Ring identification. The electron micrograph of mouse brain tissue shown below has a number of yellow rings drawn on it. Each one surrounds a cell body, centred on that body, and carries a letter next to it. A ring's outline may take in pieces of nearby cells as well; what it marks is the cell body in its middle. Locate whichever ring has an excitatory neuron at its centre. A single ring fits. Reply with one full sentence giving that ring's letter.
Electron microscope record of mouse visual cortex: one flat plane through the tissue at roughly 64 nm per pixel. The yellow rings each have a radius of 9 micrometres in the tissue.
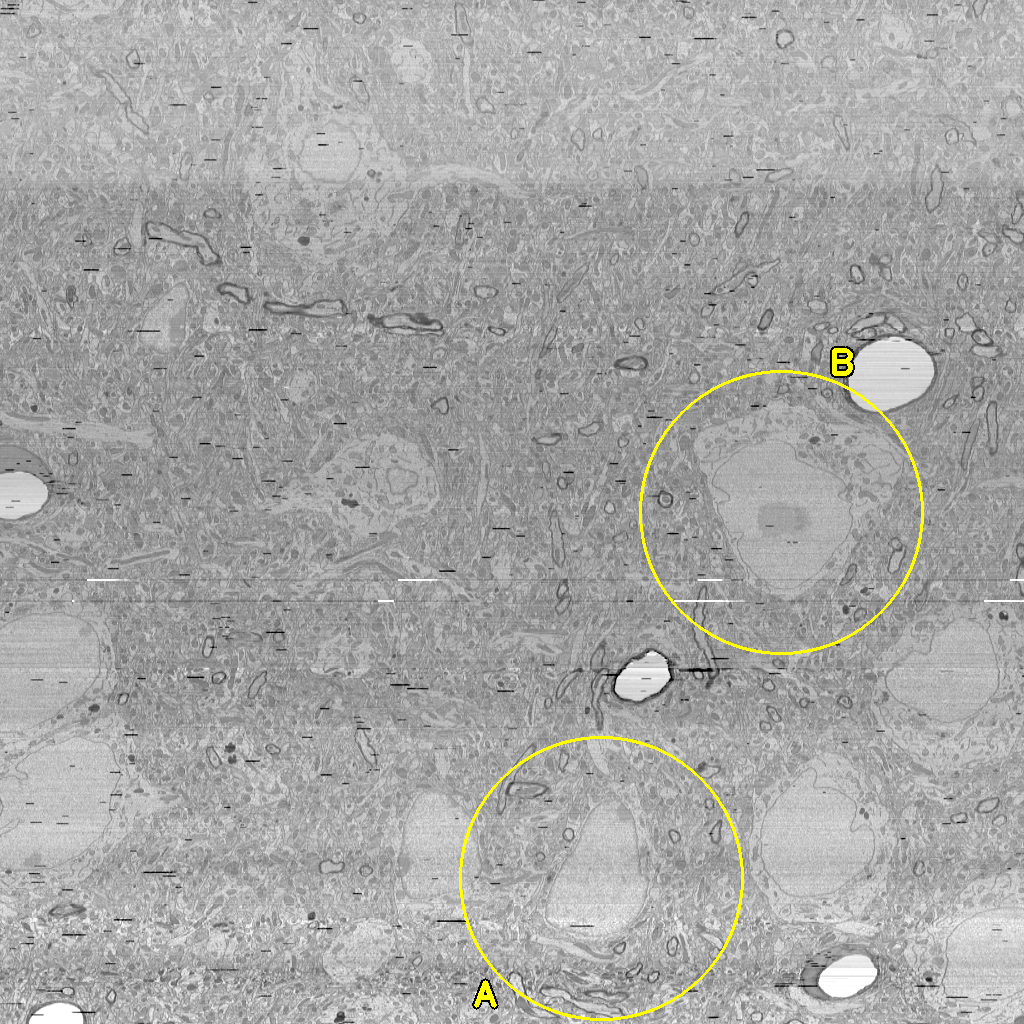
The letter B belongs to the ring centred on a cell of that kind.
